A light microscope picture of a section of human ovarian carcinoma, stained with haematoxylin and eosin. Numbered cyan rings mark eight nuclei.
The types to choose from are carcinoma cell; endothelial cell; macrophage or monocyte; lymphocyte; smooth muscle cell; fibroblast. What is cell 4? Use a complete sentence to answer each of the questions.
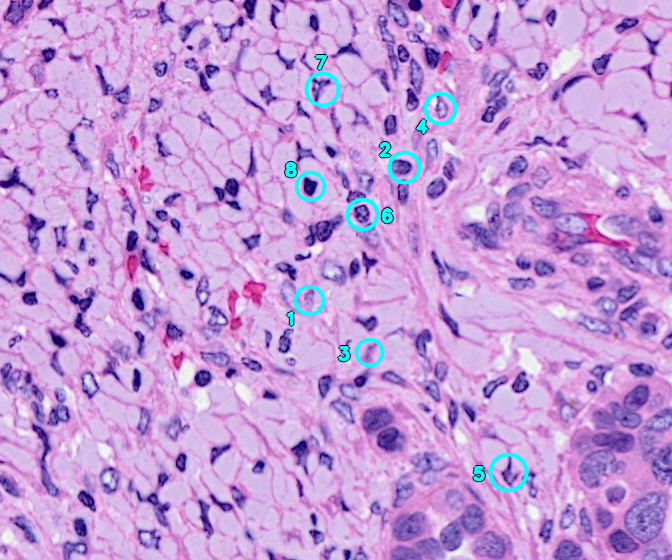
Identified as a fibroblast is the cell bearing the number 4.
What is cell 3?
The cell bearing label 3 corresponds to a fibroblast.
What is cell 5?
As for number 5, that cell is a fibroblast.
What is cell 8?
The cell with the number 8 is a lymphocyte.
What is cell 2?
The cell marked with the number 2 is a lymphocyte.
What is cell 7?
The cell that is numbered 7 is a fibroblast.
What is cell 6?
The cell to which the number 6 is assigned is a lymphocyte.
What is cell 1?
The marked cell bearing number 1 is a fibroblast.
